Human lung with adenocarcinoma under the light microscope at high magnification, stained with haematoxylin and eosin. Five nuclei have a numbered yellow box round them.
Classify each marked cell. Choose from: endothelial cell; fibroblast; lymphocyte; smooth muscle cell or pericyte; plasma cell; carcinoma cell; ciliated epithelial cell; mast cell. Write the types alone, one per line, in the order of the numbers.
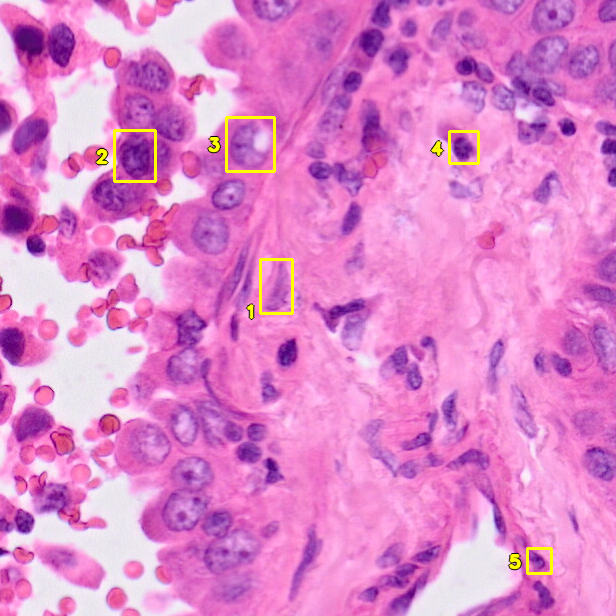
fibroblast
carcinoma cell
carcinoma cell
plasma cell
smooth muscle cell or pericyte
